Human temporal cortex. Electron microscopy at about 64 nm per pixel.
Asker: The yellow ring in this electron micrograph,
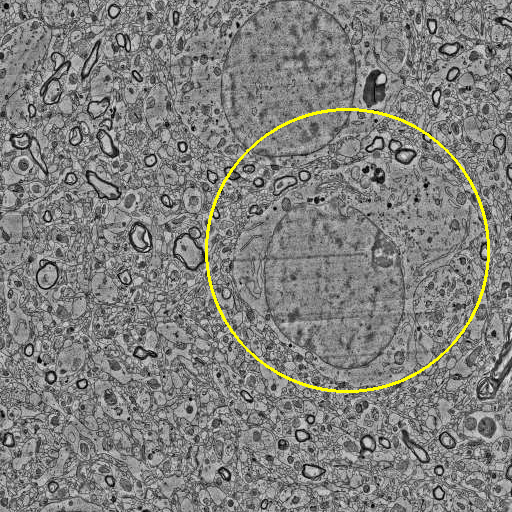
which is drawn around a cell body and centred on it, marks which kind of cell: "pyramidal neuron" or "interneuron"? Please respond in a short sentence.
The marked cell is an interneuron.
